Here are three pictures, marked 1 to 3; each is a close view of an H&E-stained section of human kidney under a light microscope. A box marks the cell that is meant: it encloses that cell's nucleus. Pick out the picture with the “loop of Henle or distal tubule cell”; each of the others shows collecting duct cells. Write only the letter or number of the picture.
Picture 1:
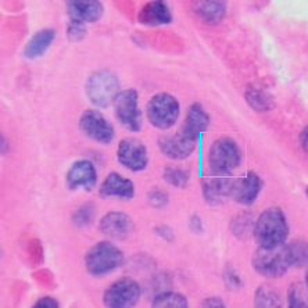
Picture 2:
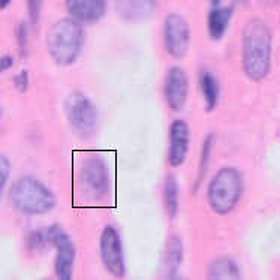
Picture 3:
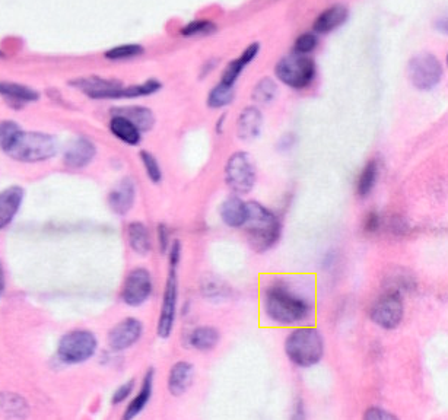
2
